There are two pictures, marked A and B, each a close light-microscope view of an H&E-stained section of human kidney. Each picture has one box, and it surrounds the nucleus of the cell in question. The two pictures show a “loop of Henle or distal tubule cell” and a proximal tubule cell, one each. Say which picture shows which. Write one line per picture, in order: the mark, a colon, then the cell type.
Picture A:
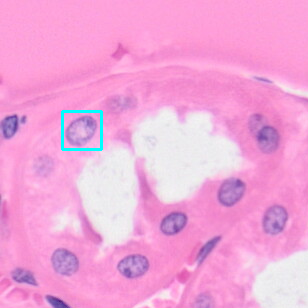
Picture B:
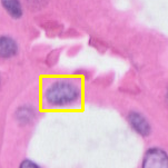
A: proximal tubule cell
B: loop of Henle or distal tubule cell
